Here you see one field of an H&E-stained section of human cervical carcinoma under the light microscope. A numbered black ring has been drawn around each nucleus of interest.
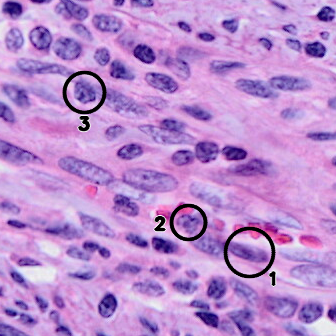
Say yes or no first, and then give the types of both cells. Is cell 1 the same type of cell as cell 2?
Yes, the two cells, 1 and 2, are both endothelial cells.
